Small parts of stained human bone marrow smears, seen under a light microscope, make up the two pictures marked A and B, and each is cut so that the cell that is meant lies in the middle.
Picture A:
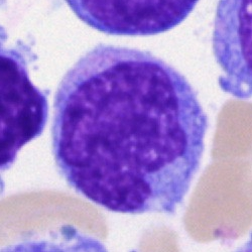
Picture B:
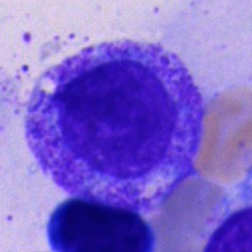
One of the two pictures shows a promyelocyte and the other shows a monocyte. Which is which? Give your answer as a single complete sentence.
Picture A is of a monocyte, and picture B is of a promyelocyte.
